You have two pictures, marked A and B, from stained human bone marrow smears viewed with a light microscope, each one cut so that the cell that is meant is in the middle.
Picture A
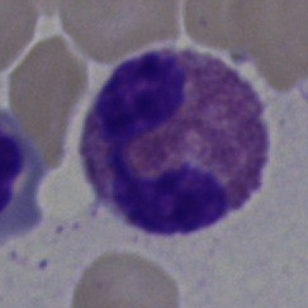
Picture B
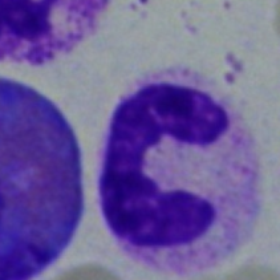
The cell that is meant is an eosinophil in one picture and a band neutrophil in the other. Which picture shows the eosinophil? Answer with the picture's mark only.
A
